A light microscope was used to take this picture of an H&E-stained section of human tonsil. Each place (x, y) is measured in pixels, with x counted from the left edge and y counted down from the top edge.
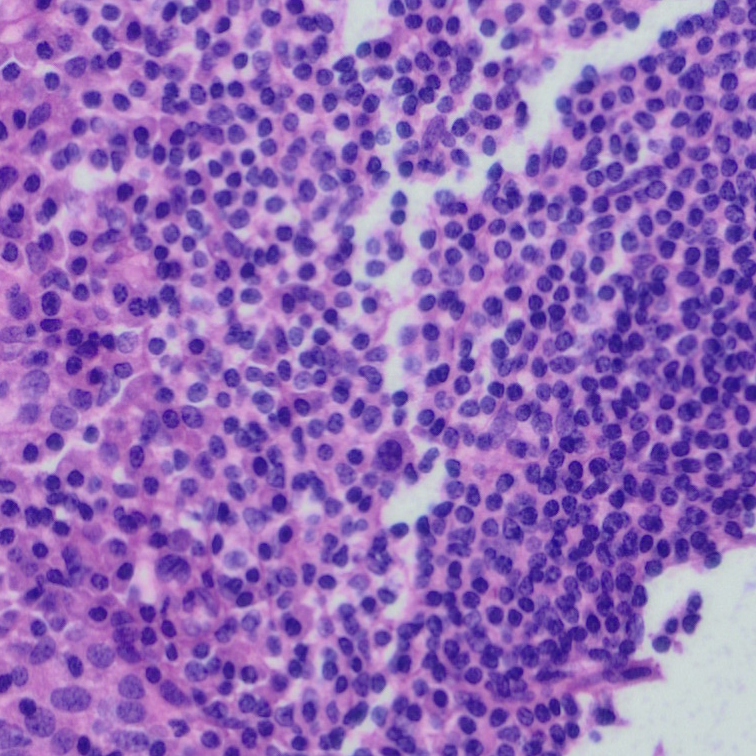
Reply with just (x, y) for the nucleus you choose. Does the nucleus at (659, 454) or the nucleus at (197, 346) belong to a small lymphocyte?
(659, 454)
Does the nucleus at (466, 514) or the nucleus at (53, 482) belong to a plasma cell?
(53, 482)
